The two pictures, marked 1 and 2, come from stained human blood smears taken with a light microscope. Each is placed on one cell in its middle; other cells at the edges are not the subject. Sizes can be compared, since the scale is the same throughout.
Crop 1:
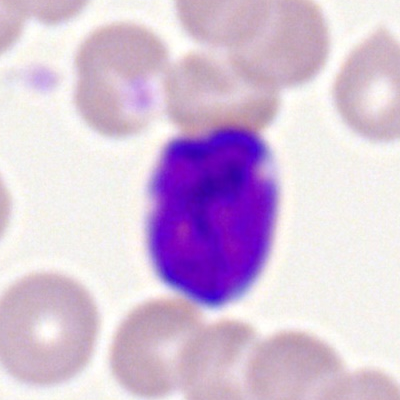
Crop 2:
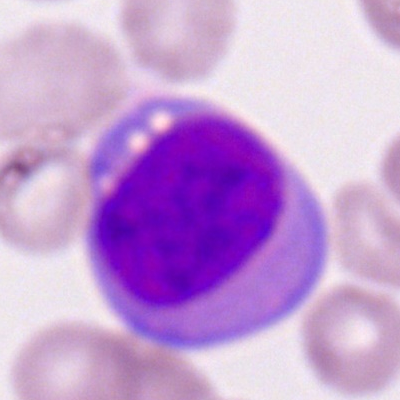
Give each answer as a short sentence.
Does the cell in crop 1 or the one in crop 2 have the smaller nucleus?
The nucleus in crop 1 is smaller; the one in crop 2 has about 1.5 times its area.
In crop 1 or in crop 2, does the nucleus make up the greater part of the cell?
Of the two, the nucleus in crop 1 makes up the greater part of its cell.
